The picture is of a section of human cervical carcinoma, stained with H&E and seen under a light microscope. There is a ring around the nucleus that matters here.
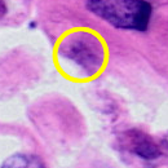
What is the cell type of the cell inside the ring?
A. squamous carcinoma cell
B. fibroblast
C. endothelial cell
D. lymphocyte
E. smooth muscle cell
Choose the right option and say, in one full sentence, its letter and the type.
Option A gets it right, as the cell inside the ring is a squamous carcinoma cell.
